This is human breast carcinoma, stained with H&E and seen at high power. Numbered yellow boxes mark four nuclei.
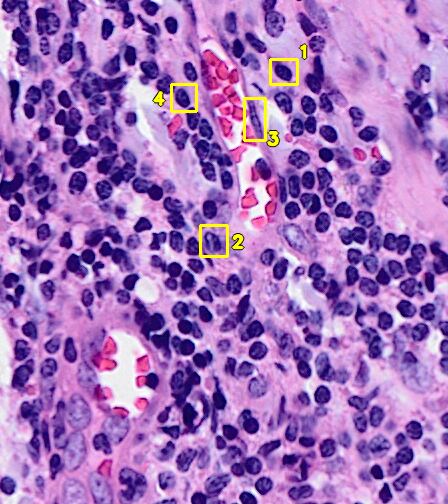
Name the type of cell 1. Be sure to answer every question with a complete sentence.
The label 1 in this section denotes a lymphocyte.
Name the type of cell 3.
The cell numbered 3 represents an endothelial cell.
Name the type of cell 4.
In this section, the cell tagged 4 is a lymphocyte.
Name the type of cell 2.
As for number 2, that cell is a lymphocyte.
